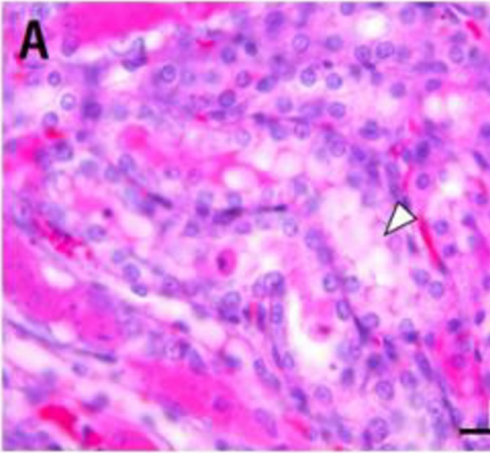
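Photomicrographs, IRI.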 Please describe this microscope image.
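Renal tubules lined by cuboidal epithelial cells with round, centrally placed nuclei and visible nucleoli. Many cells show pale, clear, vacuolated cytoplasm, giving a bubbly appearance. The vacuolated cells are grouped within several tubule profiles at the centre. Thin interstitial spaces with elongated cells and red-stained capillaries run between the tubules. Deeply pink, more solid tubular profiles lie at the edges.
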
